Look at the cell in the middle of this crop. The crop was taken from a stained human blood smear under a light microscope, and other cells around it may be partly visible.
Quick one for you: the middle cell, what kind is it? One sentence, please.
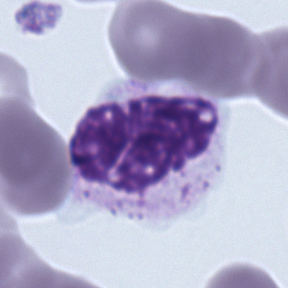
By classification, the middle cell of this crop is a segmented neutrophil.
